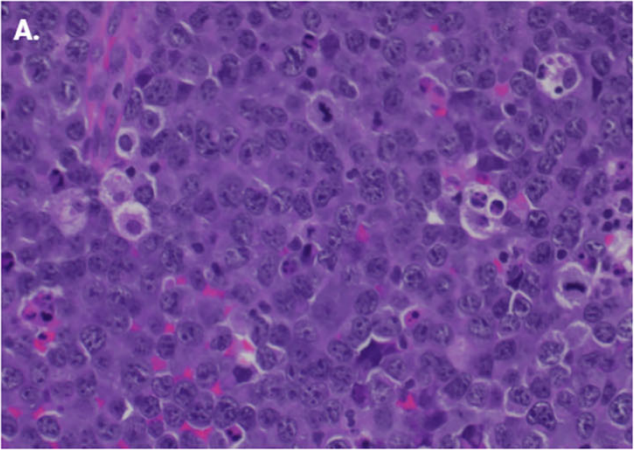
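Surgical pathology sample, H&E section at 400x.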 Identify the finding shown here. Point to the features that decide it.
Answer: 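Nuclei take up most of each cell with little cytoplasm around them. Chromatin is open with visible nucleoli. On this evidence: large atypical cells with irregular nuclei with vesicular chromatin and scant cytoplasm.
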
